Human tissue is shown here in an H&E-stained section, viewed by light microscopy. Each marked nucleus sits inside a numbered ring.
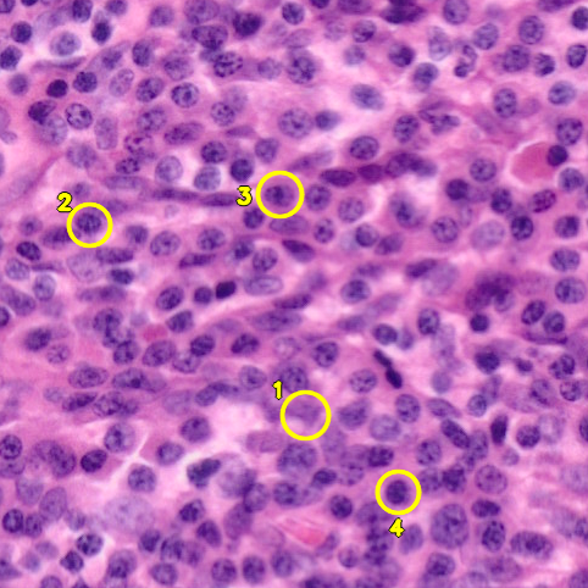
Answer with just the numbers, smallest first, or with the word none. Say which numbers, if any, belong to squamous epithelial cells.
1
